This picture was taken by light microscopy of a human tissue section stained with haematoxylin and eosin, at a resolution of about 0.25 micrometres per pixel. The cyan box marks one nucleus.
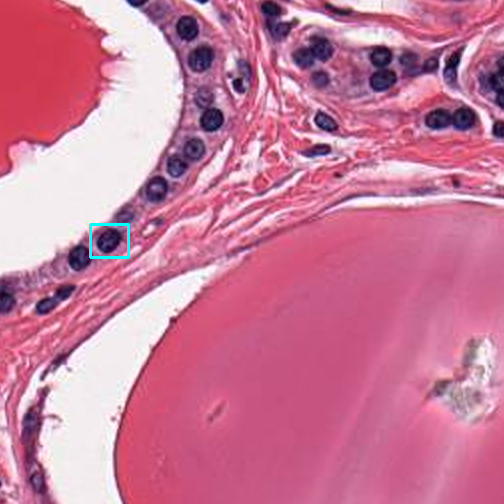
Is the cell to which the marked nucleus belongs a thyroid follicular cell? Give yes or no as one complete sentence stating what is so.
Yes, the cell whose nucleus is marked is a thyroid follicular cell.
